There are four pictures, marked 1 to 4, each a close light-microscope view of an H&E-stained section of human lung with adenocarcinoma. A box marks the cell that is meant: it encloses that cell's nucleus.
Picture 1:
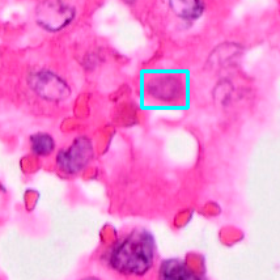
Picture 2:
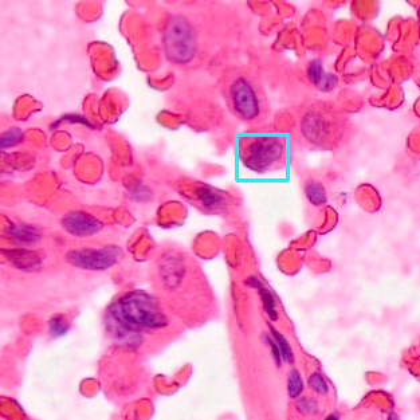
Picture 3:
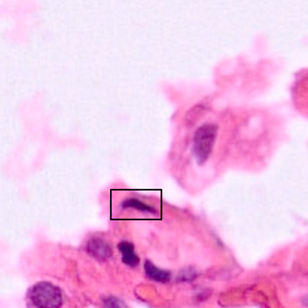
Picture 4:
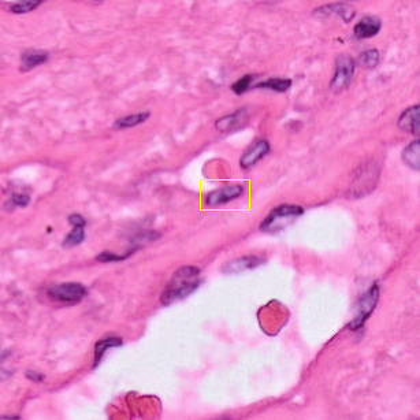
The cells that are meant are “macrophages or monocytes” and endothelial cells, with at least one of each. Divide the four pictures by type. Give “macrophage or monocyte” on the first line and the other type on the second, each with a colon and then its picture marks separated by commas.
macrophage or monocyte: 1, 2
endothelial cell: 3, 4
